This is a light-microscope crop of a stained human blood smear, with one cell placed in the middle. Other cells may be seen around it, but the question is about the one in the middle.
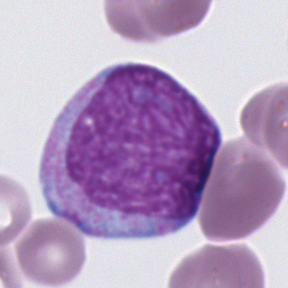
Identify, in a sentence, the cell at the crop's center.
Standing at the centre of this crop is an atypical promyelocyte.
